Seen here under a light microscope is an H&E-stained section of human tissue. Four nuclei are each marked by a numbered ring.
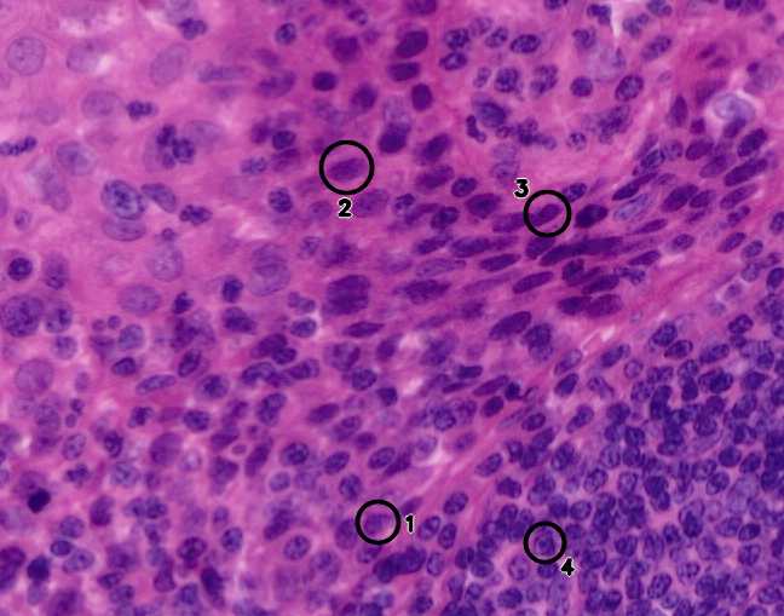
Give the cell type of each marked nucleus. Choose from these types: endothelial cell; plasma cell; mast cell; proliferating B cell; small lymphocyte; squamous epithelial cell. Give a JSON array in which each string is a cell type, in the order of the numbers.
["squamous epithelial cell", "squamous epithelial cell", "squamous epithelial cell", "small lymphocyte"]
